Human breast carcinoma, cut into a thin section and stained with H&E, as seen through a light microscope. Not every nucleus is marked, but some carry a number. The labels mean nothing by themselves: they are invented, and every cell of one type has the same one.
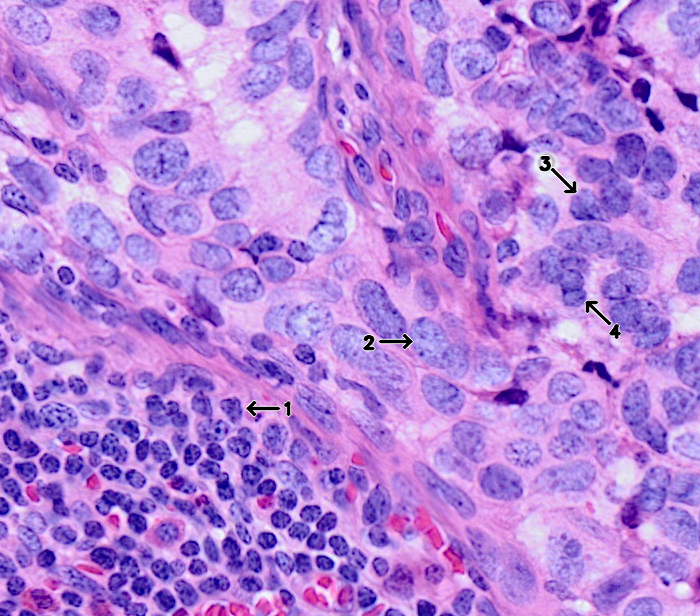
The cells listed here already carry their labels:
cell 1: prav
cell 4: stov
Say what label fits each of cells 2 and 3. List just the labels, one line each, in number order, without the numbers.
stov
stov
